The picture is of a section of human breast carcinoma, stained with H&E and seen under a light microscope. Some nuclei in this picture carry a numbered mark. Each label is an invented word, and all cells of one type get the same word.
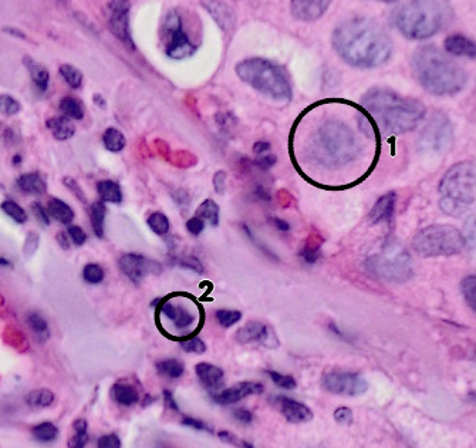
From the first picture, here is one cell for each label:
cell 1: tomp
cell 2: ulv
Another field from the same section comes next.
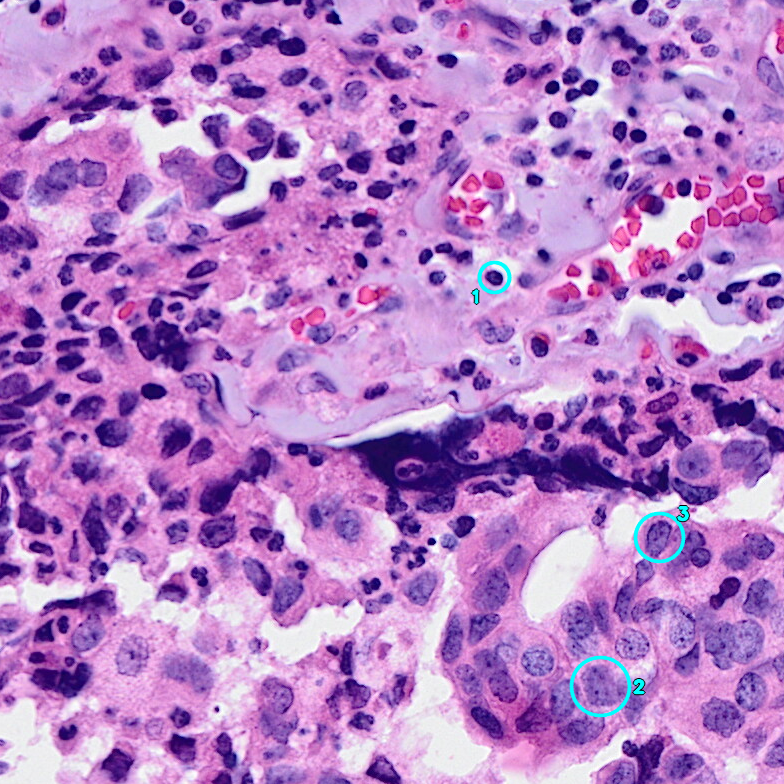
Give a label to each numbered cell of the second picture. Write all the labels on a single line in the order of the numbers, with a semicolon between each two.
ulv; tomp; tomp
